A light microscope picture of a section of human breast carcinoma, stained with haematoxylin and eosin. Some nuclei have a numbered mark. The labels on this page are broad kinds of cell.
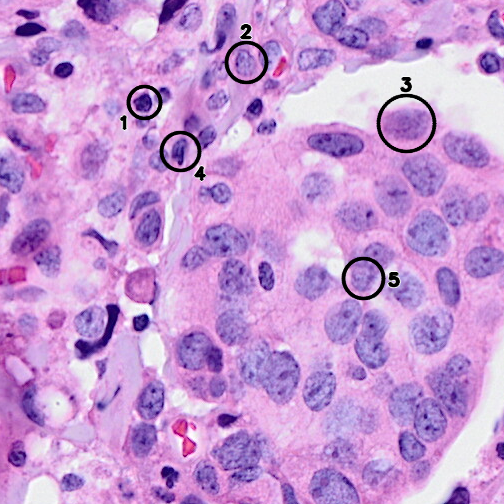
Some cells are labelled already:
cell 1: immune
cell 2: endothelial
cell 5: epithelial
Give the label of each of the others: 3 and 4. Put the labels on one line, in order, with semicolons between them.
epithelial; immune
